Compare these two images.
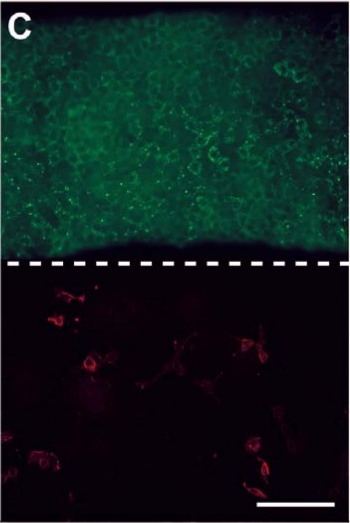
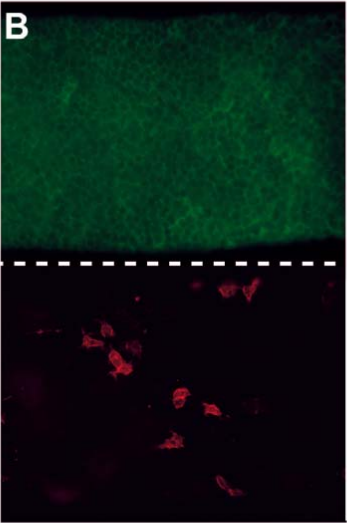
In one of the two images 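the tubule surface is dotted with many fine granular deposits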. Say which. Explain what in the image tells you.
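Second image: the green surface is smooth and diffuse with few distinct dots. First image: the green surface carries many bright fine dots outlining a meshwork.
Hence: the first image.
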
